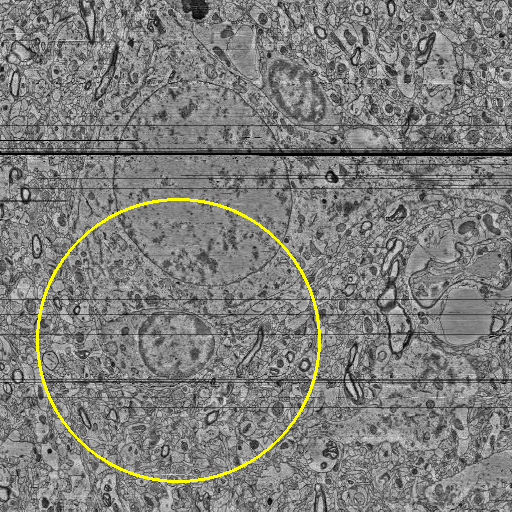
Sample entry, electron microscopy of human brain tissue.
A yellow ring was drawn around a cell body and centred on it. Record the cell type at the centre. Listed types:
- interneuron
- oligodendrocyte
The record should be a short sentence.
The cell at the ring's centre is an oligodendrocyte.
